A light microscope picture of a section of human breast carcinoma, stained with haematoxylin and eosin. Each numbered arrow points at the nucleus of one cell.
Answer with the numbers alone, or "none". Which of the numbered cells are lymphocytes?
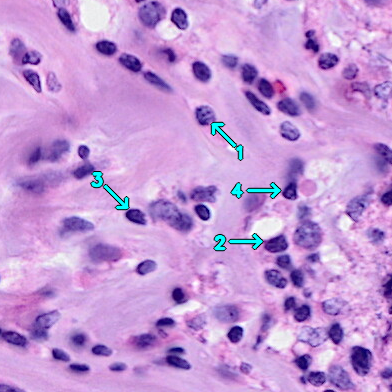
2, 3, 4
